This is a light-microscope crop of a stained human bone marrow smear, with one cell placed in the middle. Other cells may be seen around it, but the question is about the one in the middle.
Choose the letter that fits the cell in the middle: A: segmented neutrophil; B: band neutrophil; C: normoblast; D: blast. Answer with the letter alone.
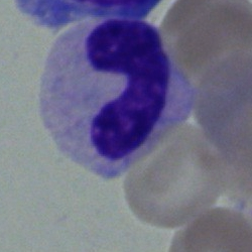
B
